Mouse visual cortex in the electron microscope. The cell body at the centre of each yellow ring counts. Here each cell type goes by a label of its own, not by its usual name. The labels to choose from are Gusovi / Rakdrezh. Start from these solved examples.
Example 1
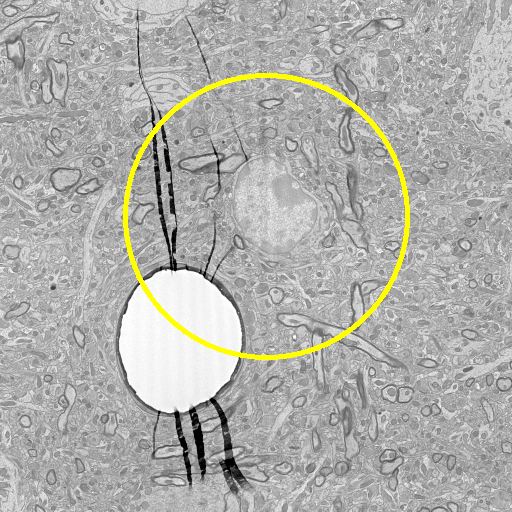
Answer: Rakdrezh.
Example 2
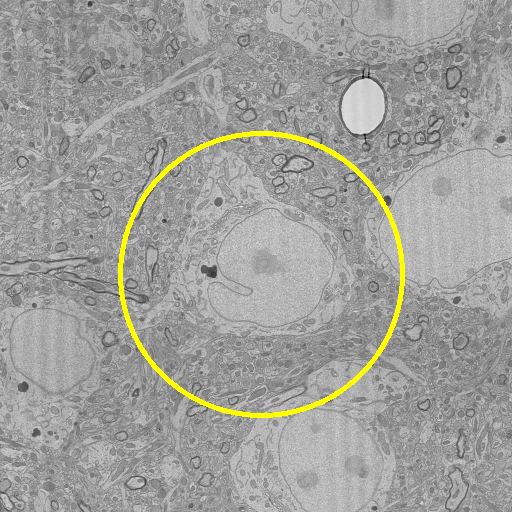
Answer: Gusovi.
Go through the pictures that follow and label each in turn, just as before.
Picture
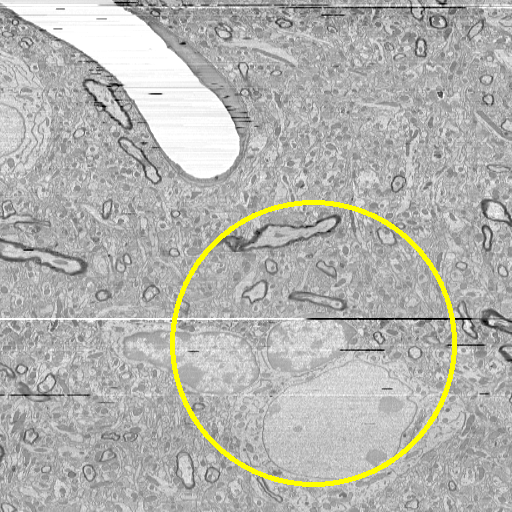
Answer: Rakdrezh.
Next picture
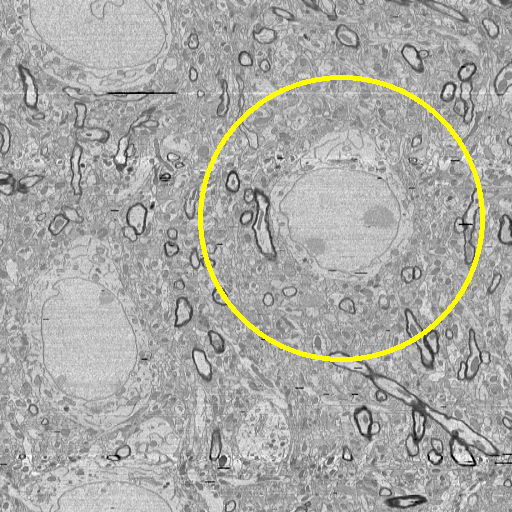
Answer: Gusovi.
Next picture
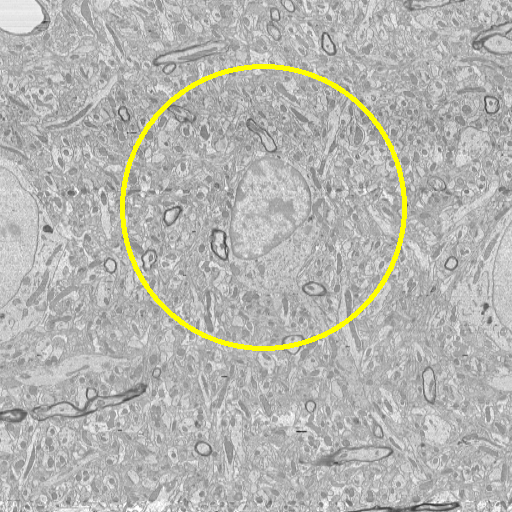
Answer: Rakdrezh.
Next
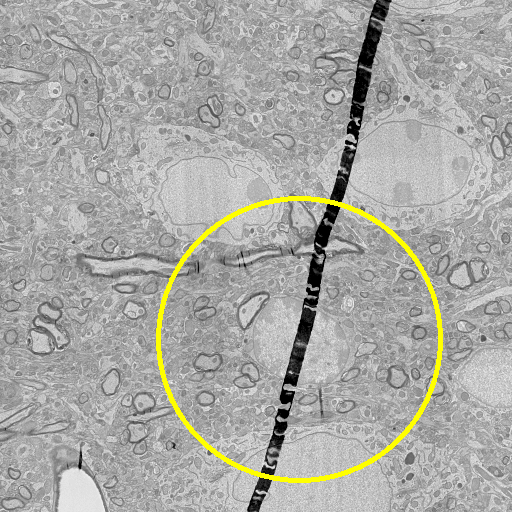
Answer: Rakdrezh.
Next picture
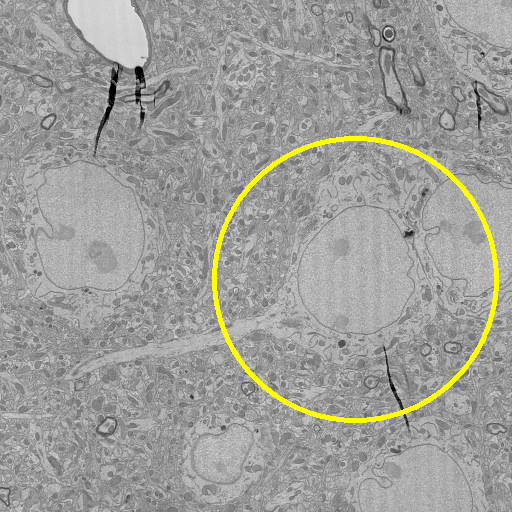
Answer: Gusovi.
